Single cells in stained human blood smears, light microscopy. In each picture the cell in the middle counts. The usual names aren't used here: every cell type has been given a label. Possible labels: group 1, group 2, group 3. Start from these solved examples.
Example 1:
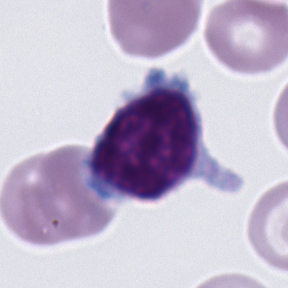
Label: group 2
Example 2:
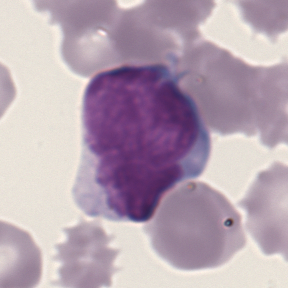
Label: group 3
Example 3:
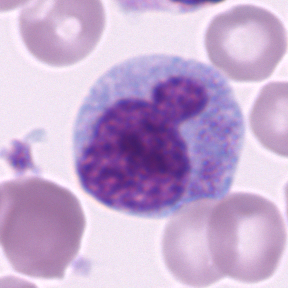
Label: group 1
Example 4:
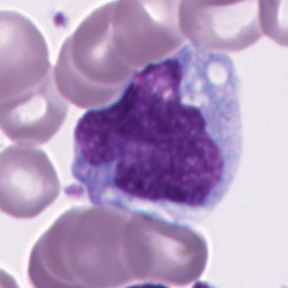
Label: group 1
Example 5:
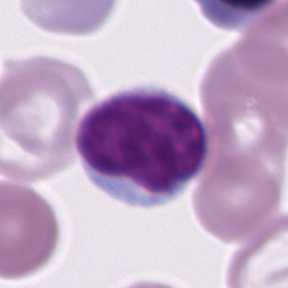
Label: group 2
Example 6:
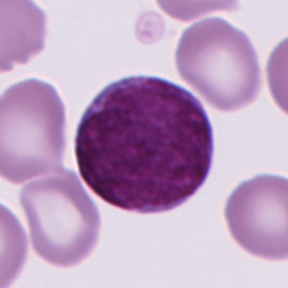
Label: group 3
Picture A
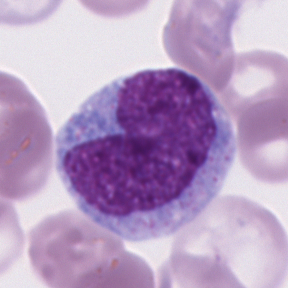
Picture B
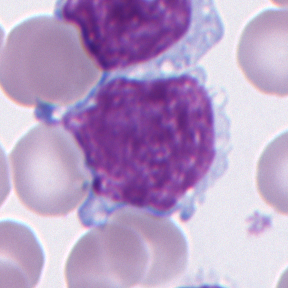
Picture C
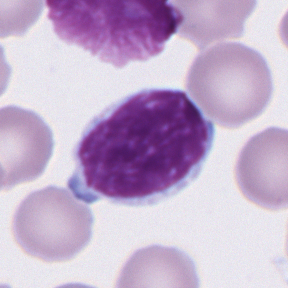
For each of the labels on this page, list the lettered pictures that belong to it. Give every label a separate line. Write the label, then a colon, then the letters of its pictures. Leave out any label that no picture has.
group 1: A
group 2: B, C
